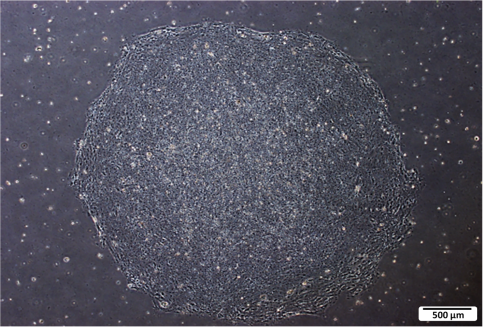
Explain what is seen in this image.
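A single large, roughly round colony of tightly packed small cells sits in the middle of an otherwise mostly empty dish. The cells inside are so crowded that individual outlines are hard to separate, giving the colony a fine granular texture. Its edge is sharp and clearly bounded, with a slightly brighter rim where the cells at the margin are flatter. Scattered small bright round bodies lie loose in the surrounding medium, likely floating or dead cells and debris.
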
